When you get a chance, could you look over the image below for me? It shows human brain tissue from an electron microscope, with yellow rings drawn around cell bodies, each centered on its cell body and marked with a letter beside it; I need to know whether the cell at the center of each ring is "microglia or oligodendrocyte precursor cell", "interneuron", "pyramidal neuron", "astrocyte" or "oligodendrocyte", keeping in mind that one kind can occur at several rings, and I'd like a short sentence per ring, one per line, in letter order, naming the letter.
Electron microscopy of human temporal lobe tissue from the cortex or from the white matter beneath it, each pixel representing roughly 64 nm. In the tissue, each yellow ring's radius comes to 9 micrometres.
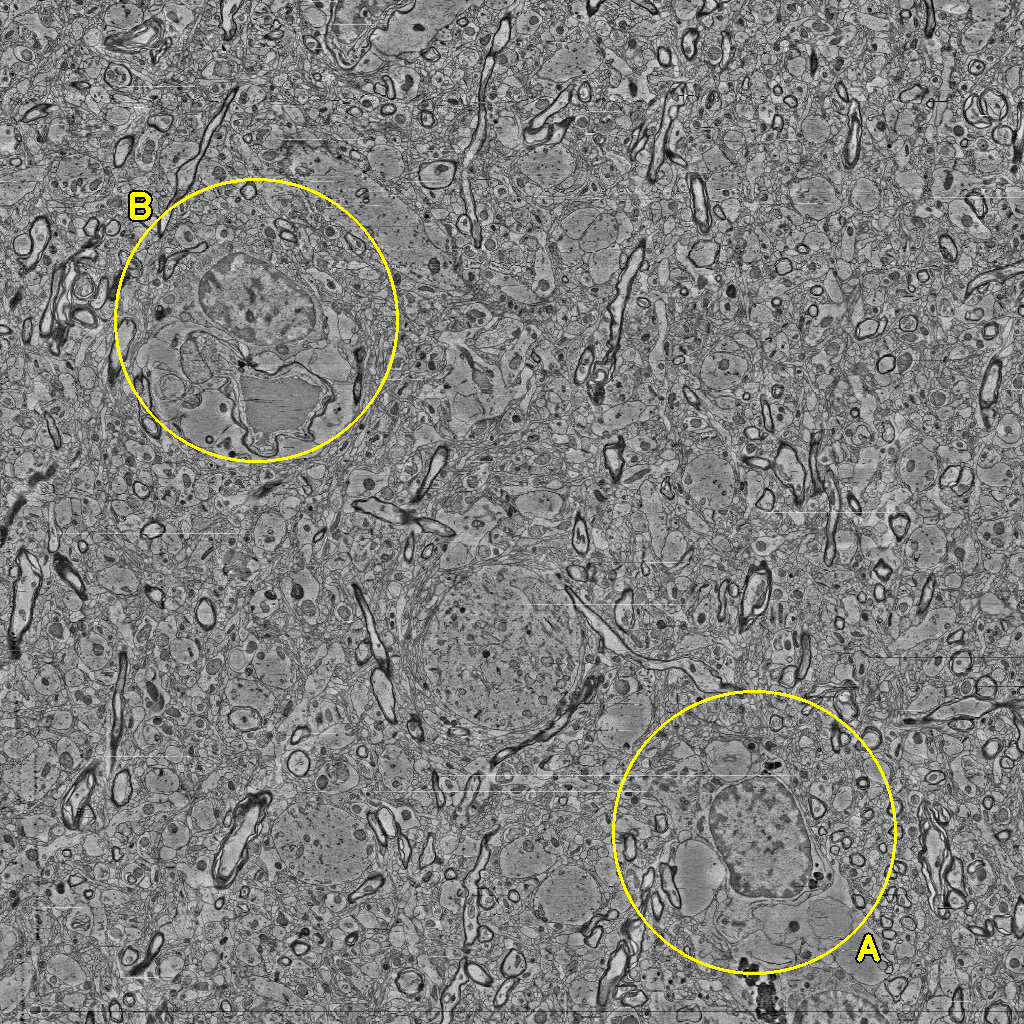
Ring A is centered on a microglial cell or oligodendrocyte precursor cell.
Ring B is centered on an oligodendrocyte.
